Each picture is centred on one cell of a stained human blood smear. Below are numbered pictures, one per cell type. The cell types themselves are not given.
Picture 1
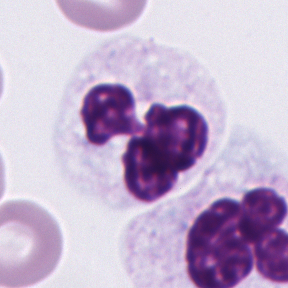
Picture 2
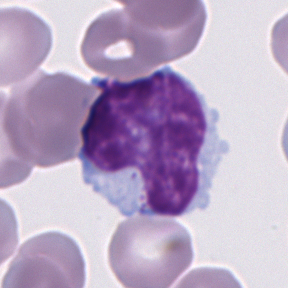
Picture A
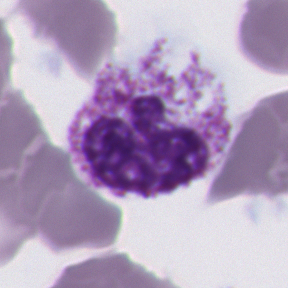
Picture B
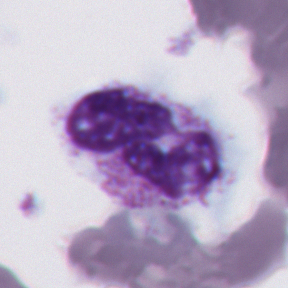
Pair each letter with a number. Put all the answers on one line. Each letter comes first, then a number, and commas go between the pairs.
A 1, B 1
